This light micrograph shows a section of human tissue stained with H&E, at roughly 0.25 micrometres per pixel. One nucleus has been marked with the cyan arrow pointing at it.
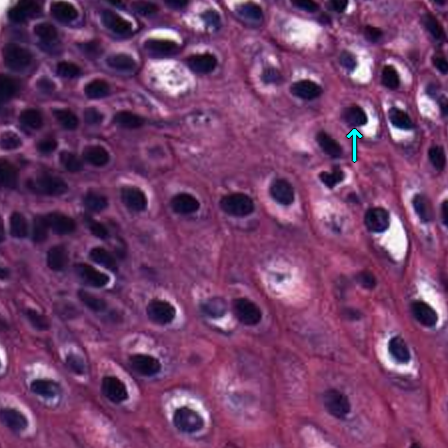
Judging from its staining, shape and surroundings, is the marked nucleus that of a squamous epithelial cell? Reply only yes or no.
yes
